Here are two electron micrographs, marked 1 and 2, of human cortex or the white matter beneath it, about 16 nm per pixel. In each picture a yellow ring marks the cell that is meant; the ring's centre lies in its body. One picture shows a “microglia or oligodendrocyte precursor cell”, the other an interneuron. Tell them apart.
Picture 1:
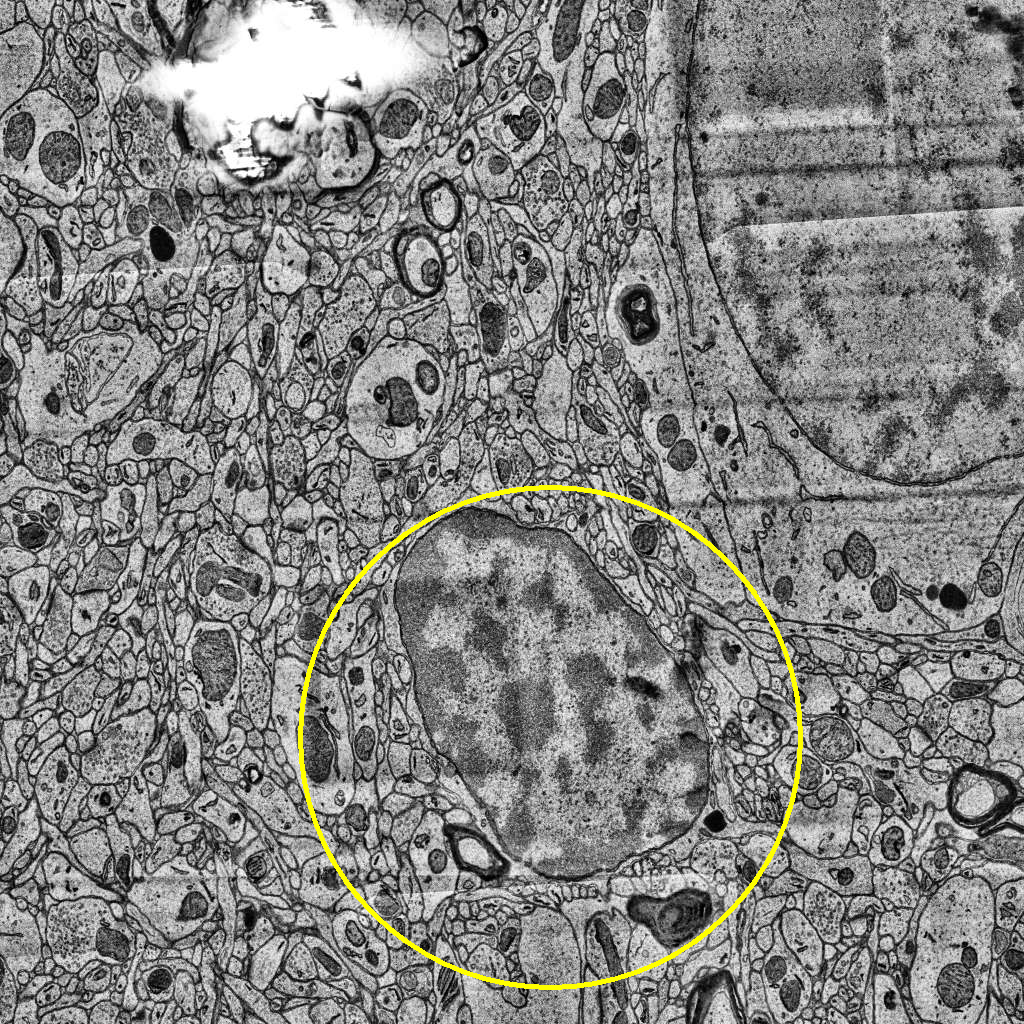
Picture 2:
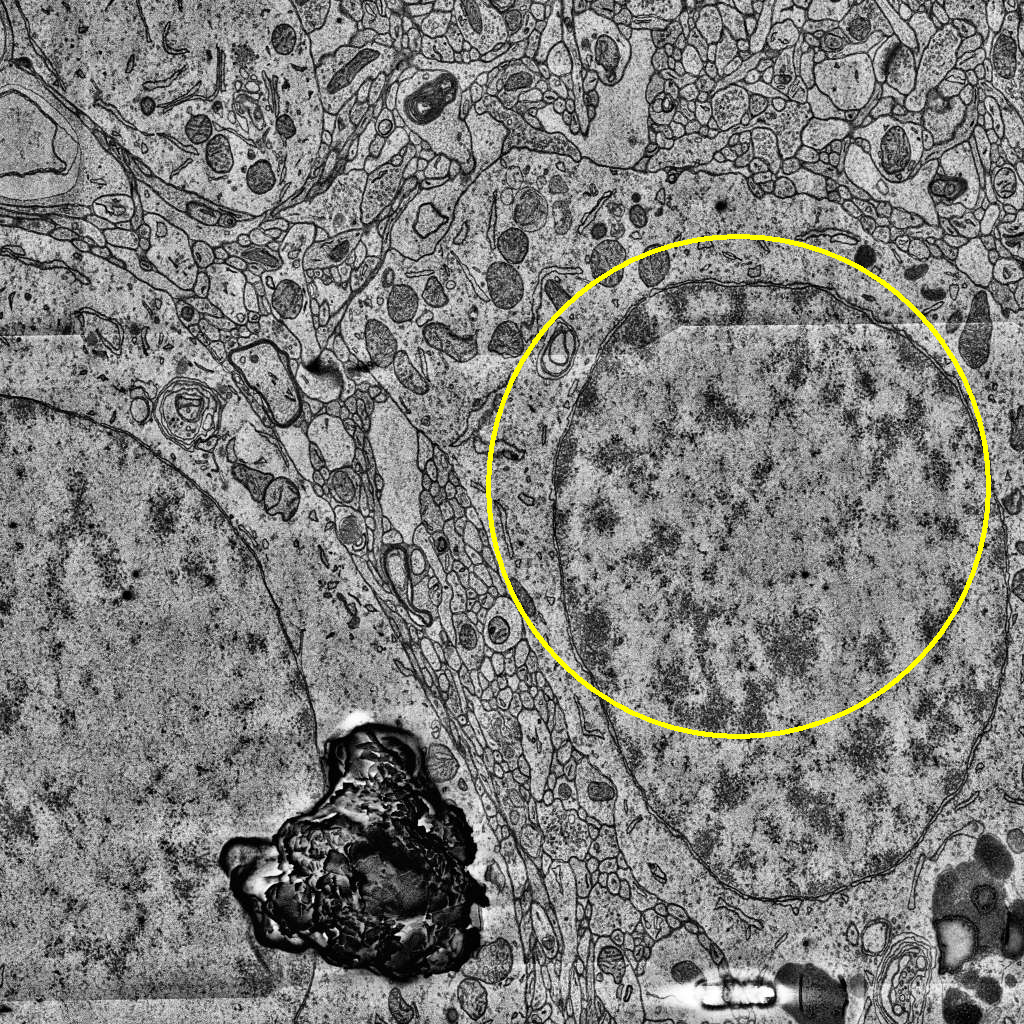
Picture 2 shows an interneuron, while picture 1 shows a “microglia or oligodendrocyte precursor cell”.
